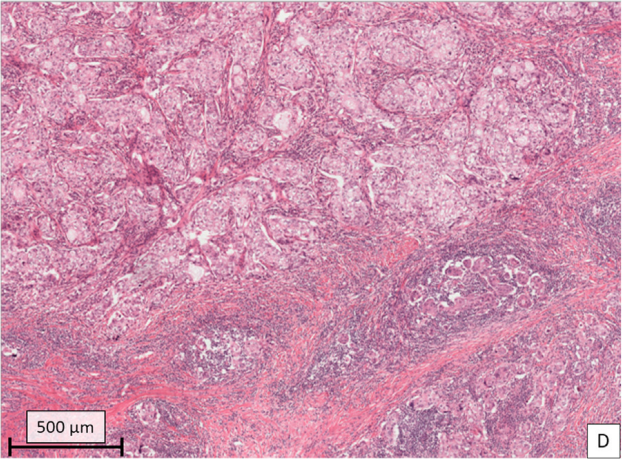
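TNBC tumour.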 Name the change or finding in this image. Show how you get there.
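Abundant lymphocytic infiltrate. The lower half holds dense sheets of small, dark, round nuclei. These dense dark cell crowds lie in pink fibrous stroma around the tumour nests.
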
